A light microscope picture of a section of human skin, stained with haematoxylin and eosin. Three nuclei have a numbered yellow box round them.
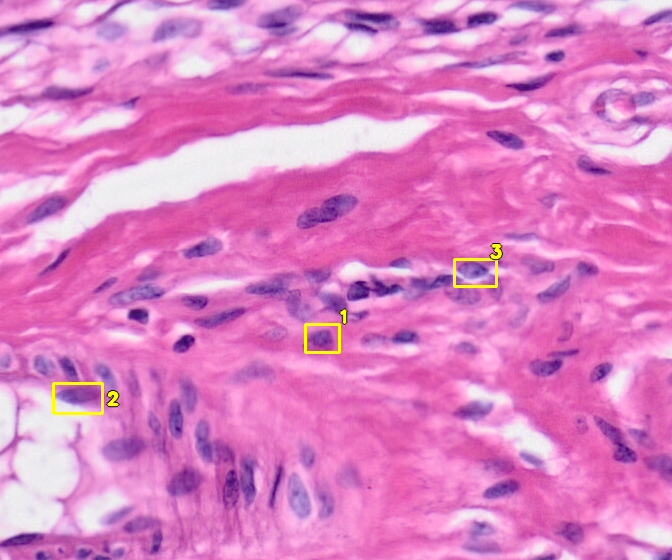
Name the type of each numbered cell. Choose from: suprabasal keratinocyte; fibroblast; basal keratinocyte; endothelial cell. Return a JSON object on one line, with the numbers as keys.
{"1": "fibroblast", "2": "endothelial cell", "3": "endothelial cell"}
